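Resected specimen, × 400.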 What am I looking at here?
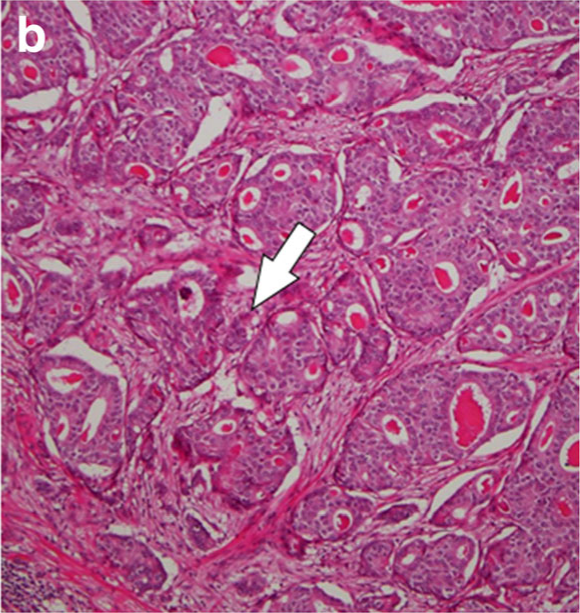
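Tumor of crowded atypical epithelial cells forming nests with many rounded gland-like spaces, several holding pink secretion. Cells have oval purple nuclei and moderate pink-violet cytoplasm; the nests are separated by thin strands of pale pink fibrous stroma, with small irregular cell clusters lying within the stroma.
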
